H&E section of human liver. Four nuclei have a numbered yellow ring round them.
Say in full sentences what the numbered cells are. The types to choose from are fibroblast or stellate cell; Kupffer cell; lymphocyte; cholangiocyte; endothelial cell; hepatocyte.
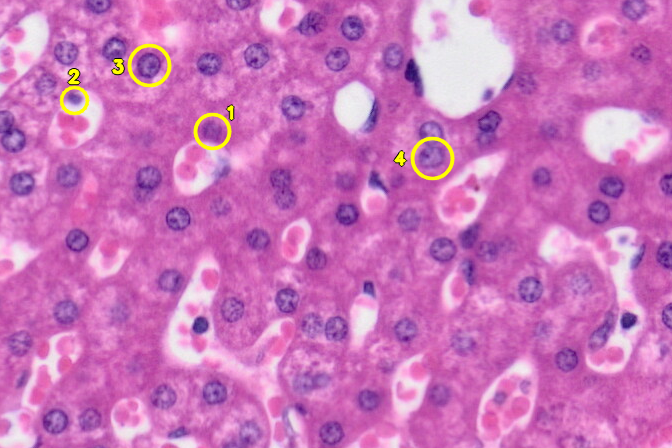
Cell 1 is a hepatocyte, cell 2 is a lymphocyte, cell 3 is a hepatocyte and cell 4 is a hepatocyte.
